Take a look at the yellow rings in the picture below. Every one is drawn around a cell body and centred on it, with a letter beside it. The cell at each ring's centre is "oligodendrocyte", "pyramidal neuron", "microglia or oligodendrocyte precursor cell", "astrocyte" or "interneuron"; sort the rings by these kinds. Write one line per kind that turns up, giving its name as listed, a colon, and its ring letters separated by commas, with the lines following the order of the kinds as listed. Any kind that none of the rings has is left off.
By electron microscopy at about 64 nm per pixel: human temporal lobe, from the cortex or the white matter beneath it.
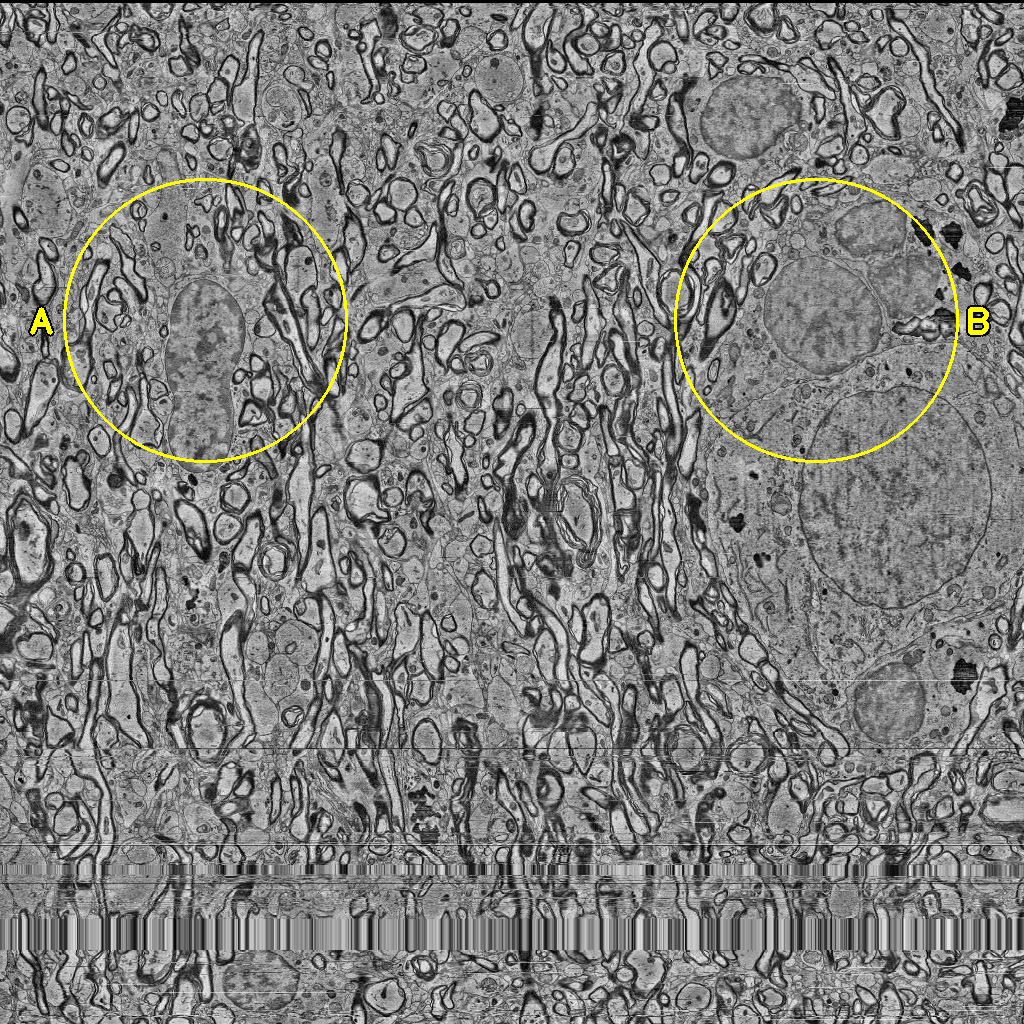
oligodendrocyte: B
microglia or oligodendrocyte precursor cell: A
